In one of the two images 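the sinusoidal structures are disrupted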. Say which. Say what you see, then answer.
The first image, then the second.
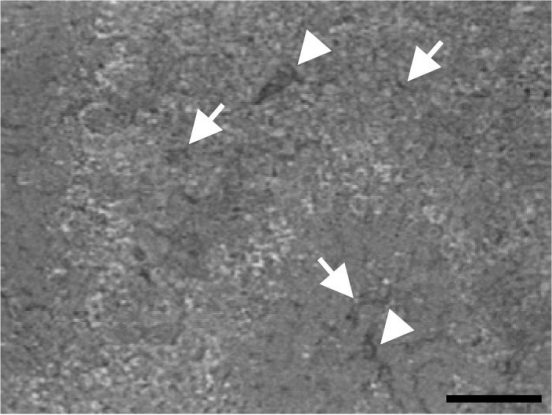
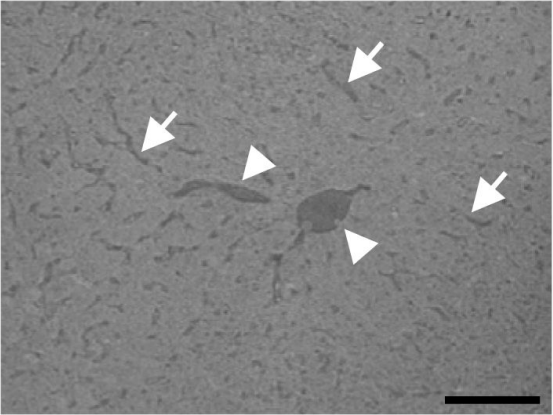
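First image: the tissue is mottled with bright granular patches and few thin dark channels can be followed. Second image: thin dark branching channels are evenly spread through uniform grey tissue. The answer: the first image.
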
